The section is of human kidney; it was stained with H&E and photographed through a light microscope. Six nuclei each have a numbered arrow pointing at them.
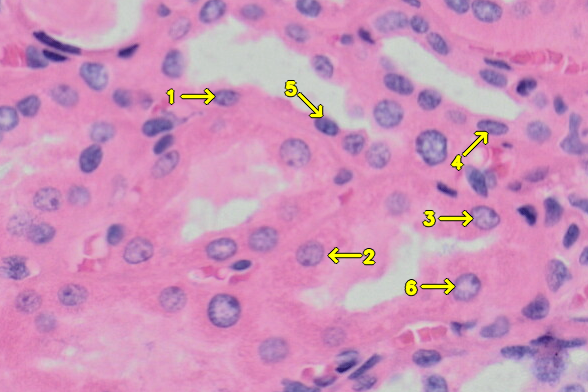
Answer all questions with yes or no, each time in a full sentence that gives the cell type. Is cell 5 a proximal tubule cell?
No, number 5 belongs to a loop of Henle or distal tubule cell, not to a proximal tubule cell.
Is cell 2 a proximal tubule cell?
Yes, it checks out; the cell labelled 2 is a proximal tubule cell.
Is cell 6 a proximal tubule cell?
Yes, number 6 corresponds to a proximal tubule cell.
